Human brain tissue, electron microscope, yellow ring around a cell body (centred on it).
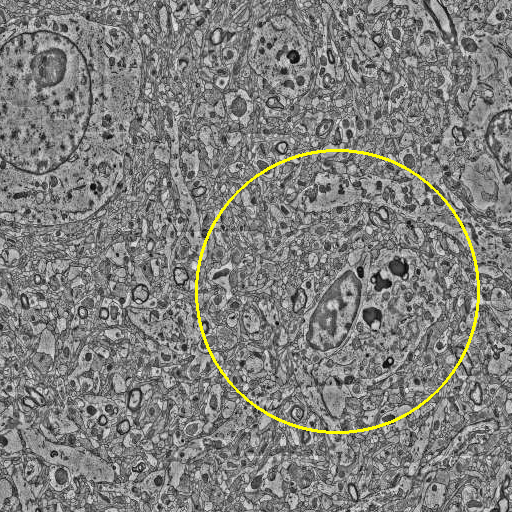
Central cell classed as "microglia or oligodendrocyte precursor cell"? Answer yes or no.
yes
